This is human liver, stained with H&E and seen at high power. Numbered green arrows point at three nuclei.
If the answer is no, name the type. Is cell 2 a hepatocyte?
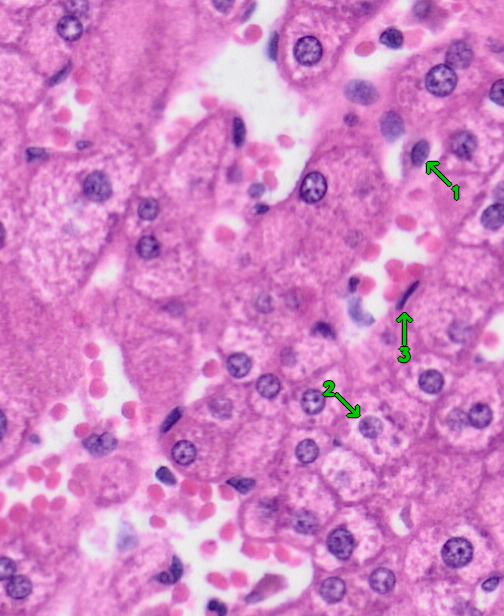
Yes.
